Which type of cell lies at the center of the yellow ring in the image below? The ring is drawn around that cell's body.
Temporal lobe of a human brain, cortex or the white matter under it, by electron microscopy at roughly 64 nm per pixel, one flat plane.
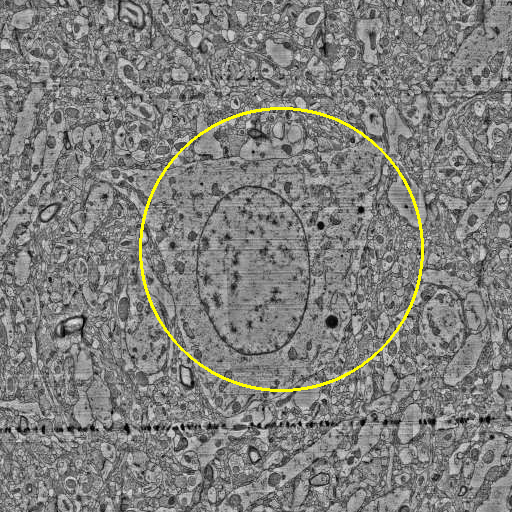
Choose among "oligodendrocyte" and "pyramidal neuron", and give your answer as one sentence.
The cell body at the center belongs to a pyramidal neuron.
